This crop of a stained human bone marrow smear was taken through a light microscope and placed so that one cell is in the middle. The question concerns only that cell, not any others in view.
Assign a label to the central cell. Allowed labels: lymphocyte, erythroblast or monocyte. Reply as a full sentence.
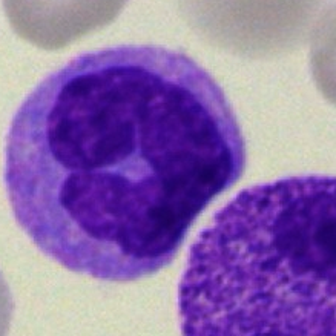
To answer, the cell in the center of the crop is a monocyte.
